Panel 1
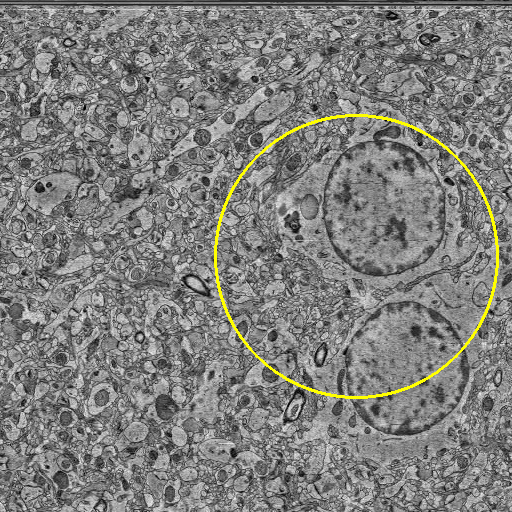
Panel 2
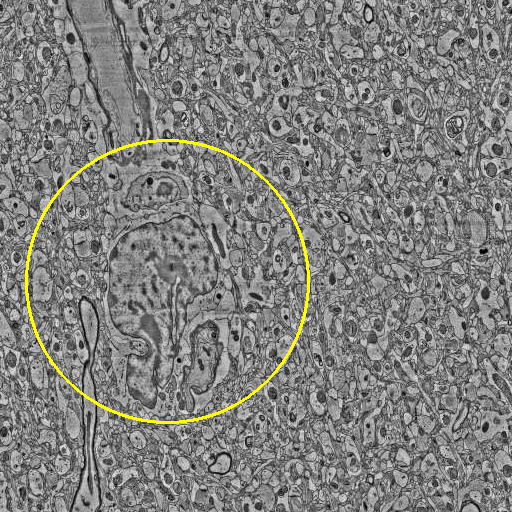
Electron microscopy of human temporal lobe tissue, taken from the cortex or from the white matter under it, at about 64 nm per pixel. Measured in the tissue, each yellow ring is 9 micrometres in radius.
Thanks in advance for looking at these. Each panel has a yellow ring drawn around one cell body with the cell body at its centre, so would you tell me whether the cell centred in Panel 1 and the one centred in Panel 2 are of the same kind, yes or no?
no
